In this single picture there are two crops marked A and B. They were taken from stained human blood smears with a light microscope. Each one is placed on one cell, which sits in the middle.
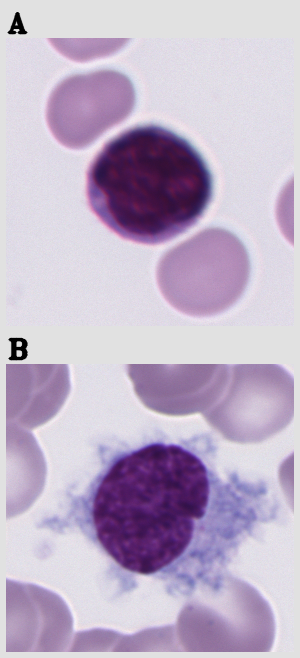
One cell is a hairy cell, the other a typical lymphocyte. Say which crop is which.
A: typical lymphocyte
B: hairy cell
